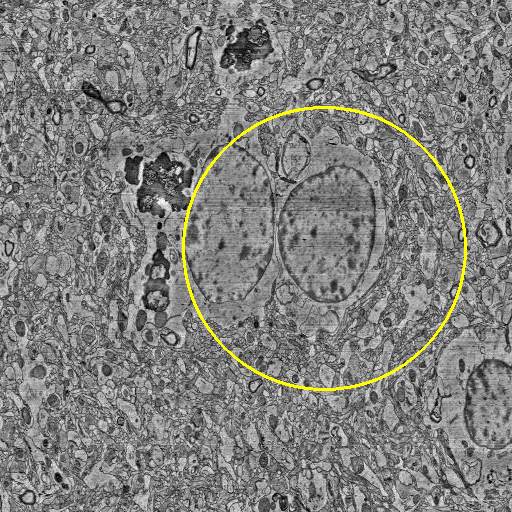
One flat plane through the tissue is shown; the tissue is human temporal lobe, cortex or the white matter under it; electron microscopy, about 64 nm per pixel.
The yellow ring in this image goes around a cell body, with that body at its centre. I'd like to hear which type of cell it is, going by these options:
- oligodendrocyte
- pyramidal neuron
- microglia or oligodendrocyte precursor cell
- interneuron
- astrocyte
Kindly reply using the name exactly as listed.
astrocyte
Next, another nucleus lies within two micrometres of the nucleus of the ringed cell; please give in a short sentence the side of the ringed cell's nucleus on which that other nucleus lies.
The second nucleus lies to the left of it.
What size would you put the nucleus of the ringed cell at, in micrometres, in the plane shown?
In this plane the nucleus spans approximately 9 by 6 micrometers.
